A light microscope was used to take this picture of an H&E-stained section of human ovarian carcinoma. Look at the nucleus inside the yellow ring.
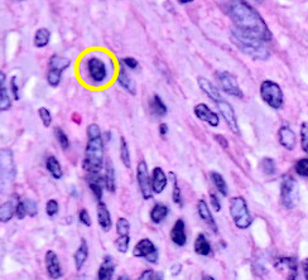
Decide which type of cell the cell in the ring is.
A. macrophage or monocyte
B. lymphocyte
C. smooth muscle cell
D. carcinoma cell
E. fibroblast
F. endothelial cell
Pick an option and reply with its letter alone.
B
